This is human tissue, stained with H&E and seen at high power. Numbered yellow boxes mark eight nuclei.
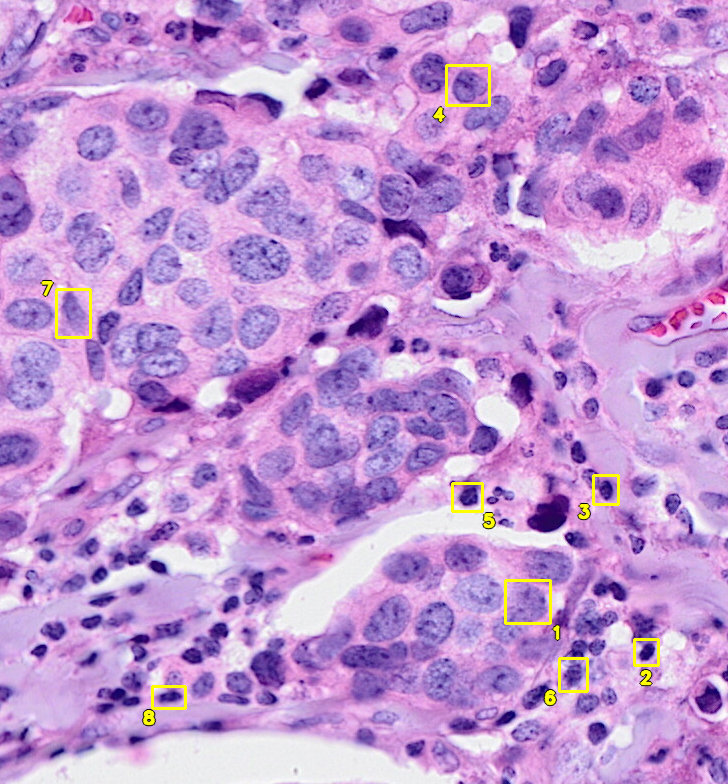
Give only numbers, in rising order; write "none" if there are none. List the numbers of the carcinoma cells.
1, 4, 7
